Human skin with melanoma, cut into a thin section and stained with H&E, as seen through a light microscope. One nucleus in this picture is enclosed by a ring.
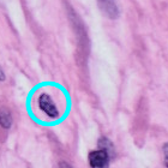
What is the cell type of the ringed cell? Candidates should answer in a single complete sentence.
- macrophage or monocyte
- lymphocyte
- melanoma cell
In this field of tissue, the ringed cell is a lymphocyte.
